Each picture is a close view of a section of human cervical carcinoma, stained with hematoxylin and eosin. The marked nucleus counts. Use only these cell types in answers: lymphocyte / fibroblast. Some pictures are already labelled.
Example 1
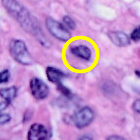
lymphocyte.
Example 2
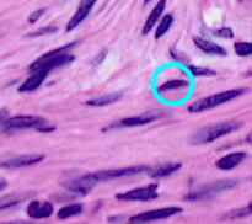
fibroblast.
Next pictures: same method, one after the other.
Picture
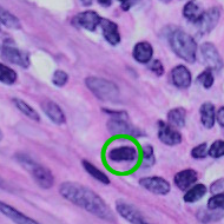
lymphocyte.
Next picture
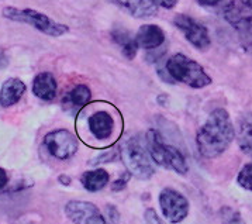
lymphocyte.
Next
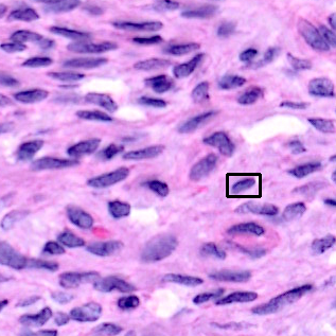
fibroblast.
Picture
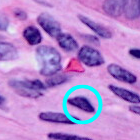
fibroblast.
